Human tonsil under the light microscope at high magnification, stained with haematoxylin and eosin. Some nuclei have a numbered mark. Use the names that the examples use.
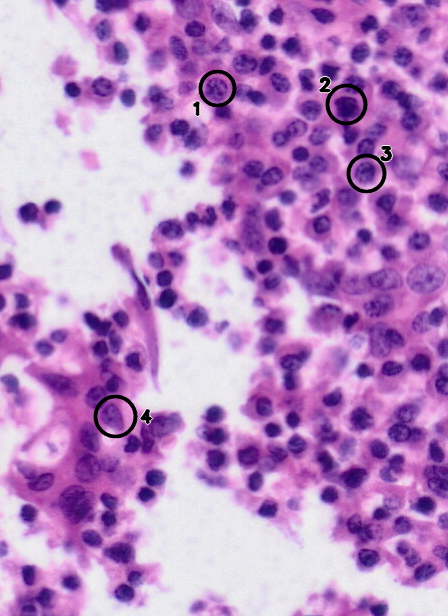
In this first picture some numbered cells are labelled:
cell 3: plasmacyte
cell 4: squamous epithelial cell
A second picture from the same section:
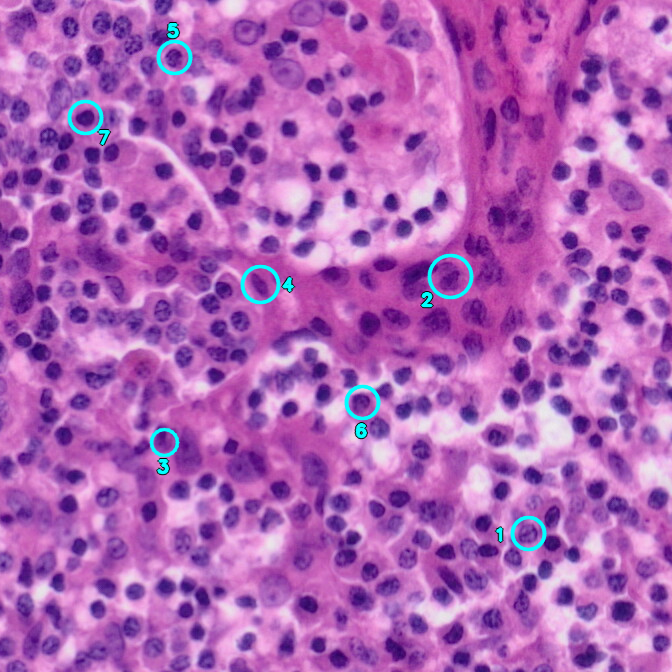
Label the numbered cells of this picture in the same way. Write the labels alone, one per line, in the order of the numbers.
plasmacyte
squamous epithelial cell
squamous epithelial cell
squamous epithelial cell
plasmacyte
plasmacyte
plasmacyte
